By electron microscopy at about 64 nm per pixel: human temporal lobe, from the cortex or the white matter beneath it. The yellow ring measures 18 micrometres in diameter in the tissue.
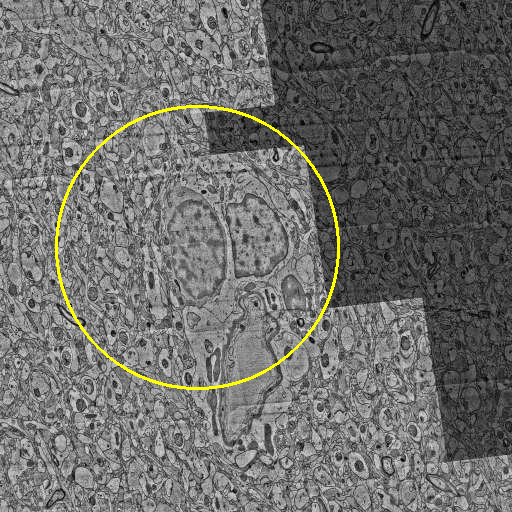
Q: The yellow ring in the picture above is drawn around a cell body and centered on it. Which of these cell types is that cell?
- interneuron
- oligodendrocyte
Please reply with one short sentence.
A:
The cell body at the ring's center belongs to an oligodendrocyte.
